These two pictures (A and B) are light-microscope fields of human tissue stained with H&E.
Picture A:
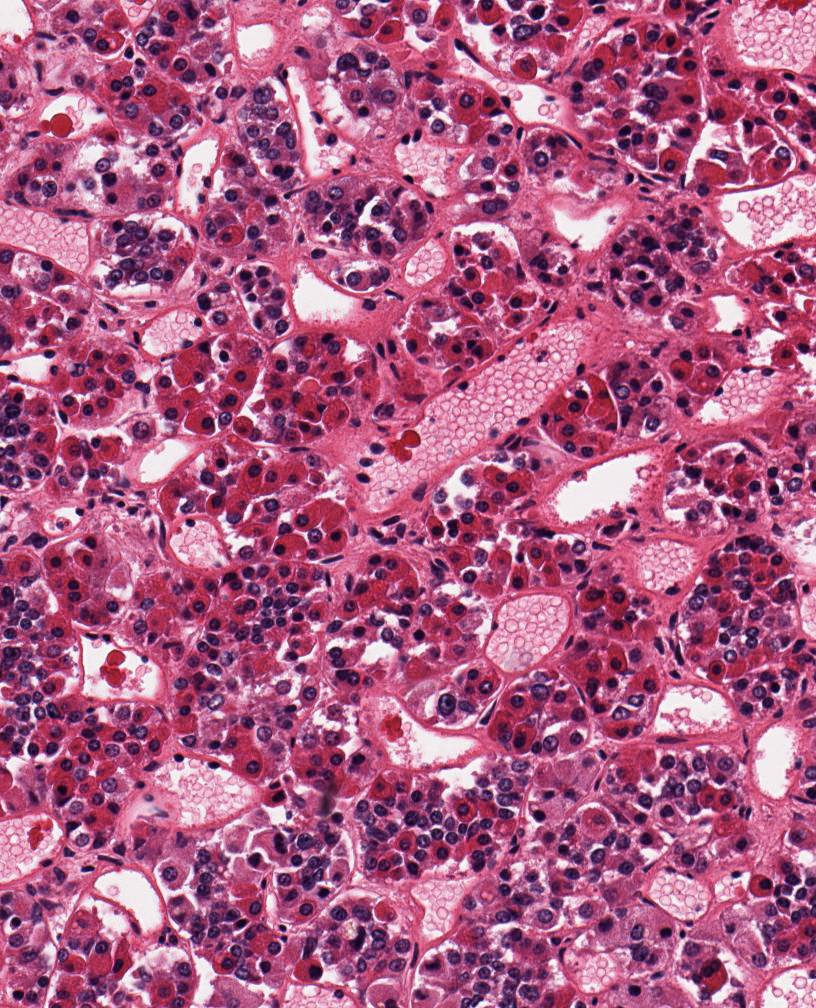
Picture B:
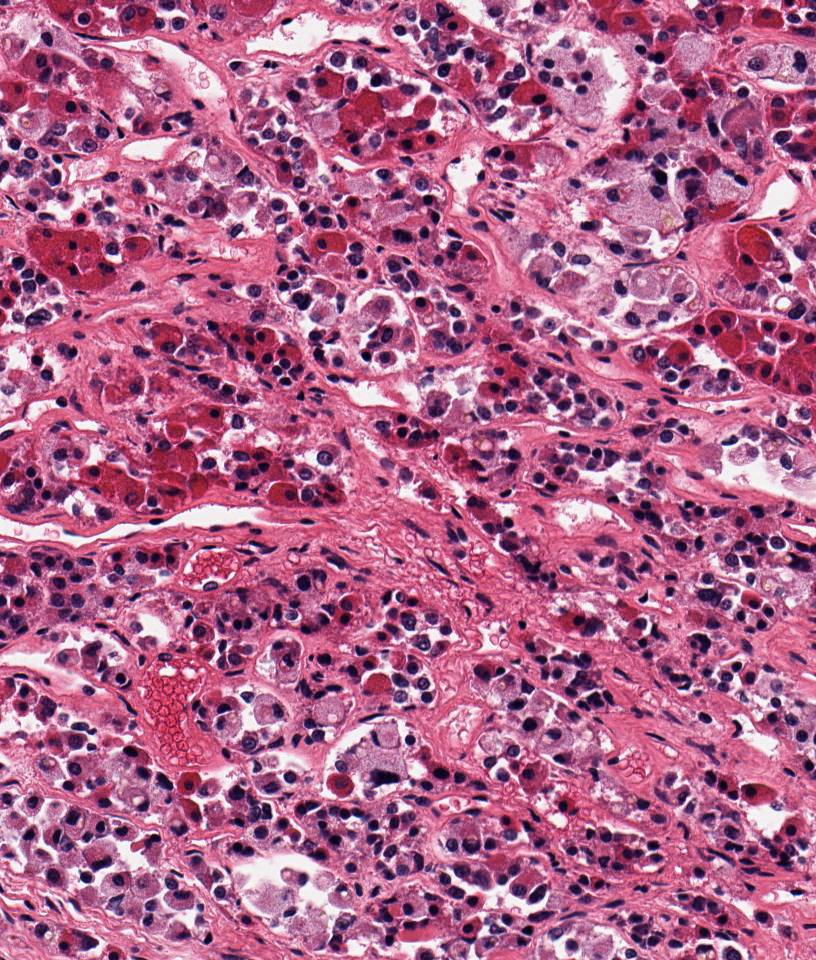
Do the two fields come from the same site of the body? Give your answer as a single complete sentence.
Yes, the two fields both come from the pituitary.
